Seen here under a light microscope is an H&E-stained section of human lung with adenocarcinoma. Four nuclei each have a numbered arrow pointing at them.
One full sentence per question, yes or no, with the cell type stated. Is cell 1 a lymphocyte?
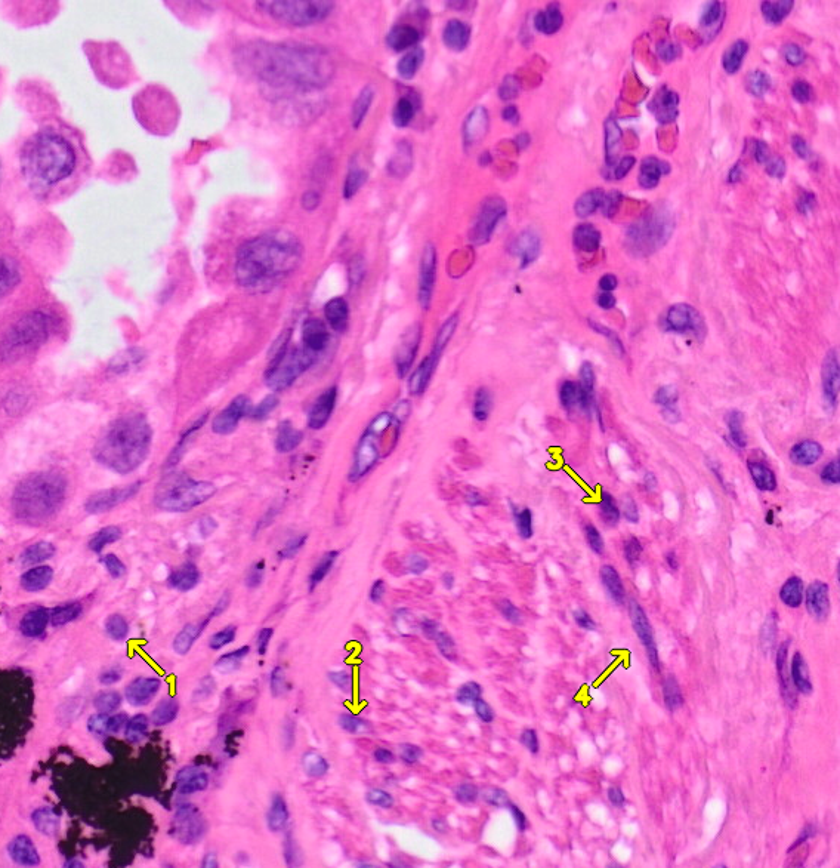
Yes, the numbered cell 1 is a lymphocyte.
